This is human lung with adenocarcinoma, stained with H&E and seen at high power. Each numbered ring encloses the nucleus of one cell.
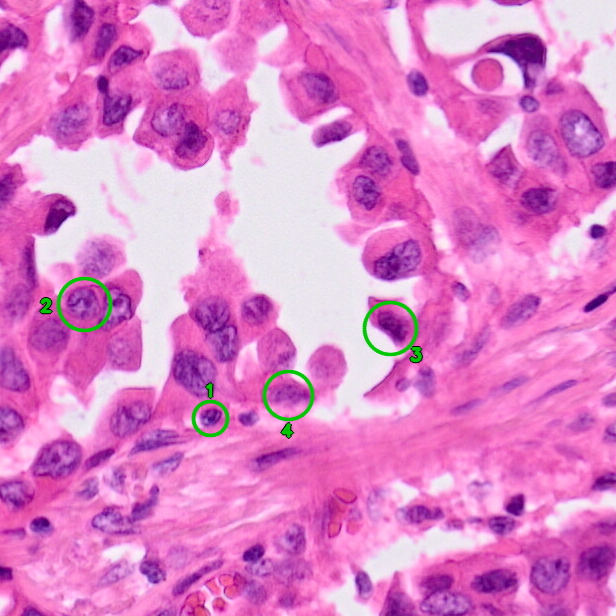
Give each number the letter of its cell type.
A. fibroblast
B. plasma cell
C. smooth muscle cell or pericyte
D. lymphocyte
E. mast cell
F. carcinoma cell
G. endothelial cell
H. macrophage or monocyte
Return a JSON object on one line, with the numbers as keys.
{"1": "D", "2": "F", "3": "F", "4": "F"}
